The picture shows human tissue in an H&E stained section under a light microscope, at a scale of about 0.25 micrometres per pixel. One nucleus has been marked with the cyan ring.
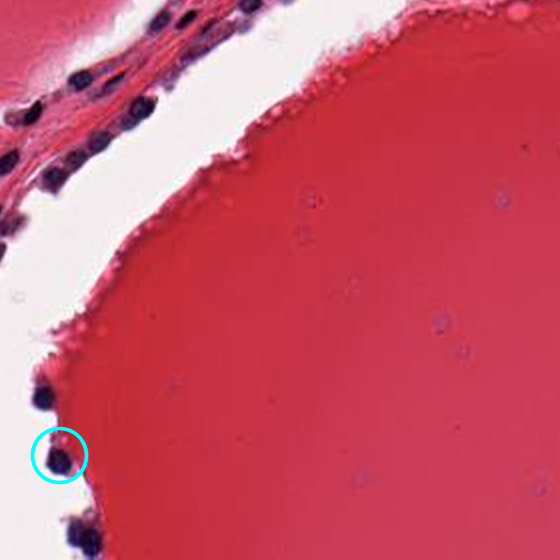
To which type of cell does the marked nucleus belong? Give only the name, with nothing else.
thyroid follicular cell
